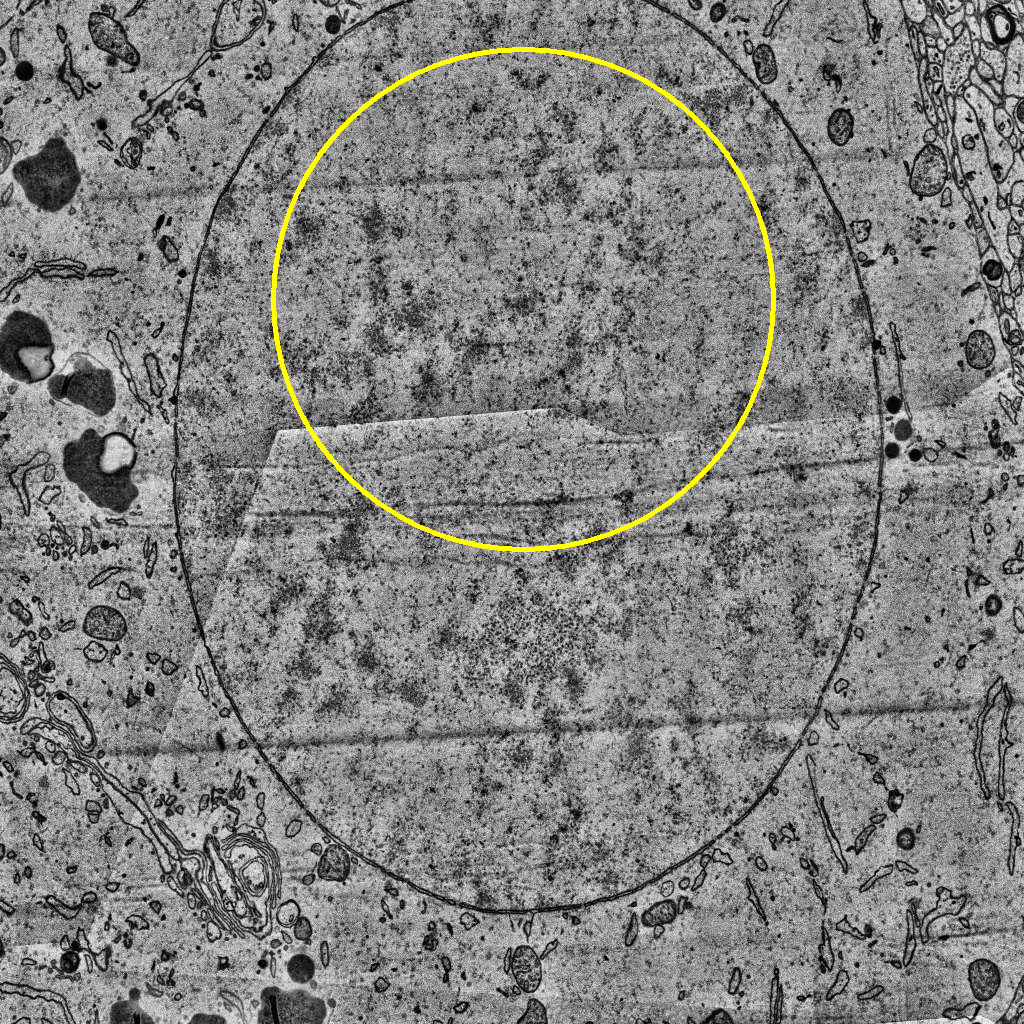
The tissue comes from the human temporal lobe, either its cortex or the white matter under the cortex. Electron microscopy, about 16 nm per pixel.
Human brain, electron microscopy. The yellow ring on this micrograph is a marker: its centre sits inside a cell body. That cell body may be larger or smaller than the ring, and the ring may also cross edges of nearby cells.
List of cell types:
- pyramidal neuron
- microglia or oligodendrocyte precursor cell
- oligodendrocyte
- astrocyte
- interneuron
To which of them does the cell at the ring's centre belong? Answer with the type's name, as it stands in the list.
pyramidal neuron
